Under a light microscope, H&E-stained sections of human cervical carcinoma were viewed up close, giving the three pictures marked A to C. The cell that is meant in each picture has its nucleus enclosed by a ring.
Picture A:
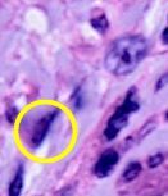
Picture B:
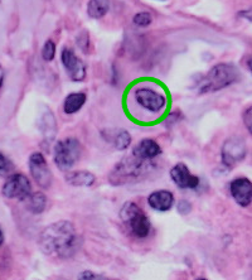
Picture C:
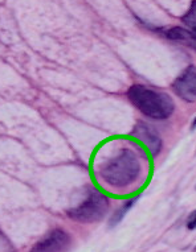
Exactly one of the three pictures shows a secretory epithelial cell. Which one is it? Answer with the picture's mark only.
C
